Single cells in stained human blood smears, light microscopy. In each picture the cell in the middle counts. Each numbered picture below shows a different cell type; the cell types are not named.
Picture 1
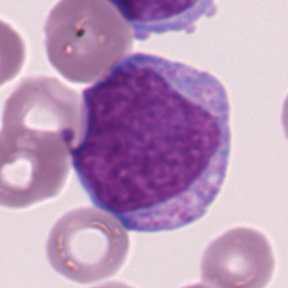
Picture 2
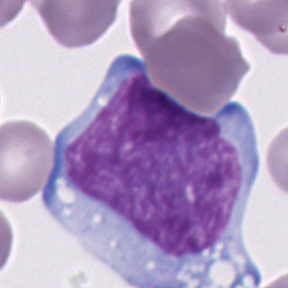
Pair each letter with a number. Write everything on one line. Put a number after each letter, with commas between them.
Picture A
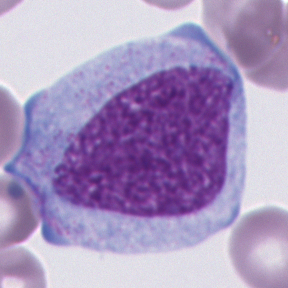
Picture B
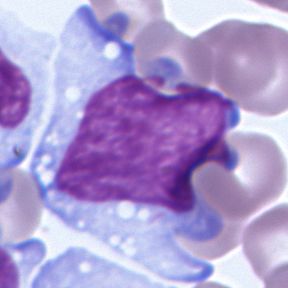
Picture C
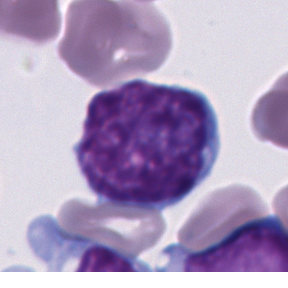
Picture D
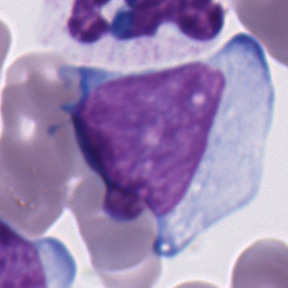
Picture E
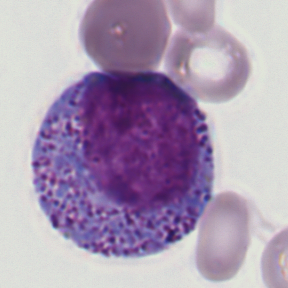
A 1, B 2, C 2, D 2, E 1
